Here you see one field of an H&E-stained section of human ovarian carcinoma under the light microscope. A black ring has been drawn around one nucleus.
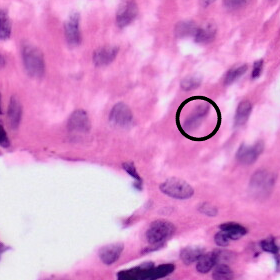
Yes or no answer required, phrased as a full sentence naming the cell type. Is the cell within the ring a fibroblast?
Yes, the classification of the cell within the ring as a fibroblast is accurate.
